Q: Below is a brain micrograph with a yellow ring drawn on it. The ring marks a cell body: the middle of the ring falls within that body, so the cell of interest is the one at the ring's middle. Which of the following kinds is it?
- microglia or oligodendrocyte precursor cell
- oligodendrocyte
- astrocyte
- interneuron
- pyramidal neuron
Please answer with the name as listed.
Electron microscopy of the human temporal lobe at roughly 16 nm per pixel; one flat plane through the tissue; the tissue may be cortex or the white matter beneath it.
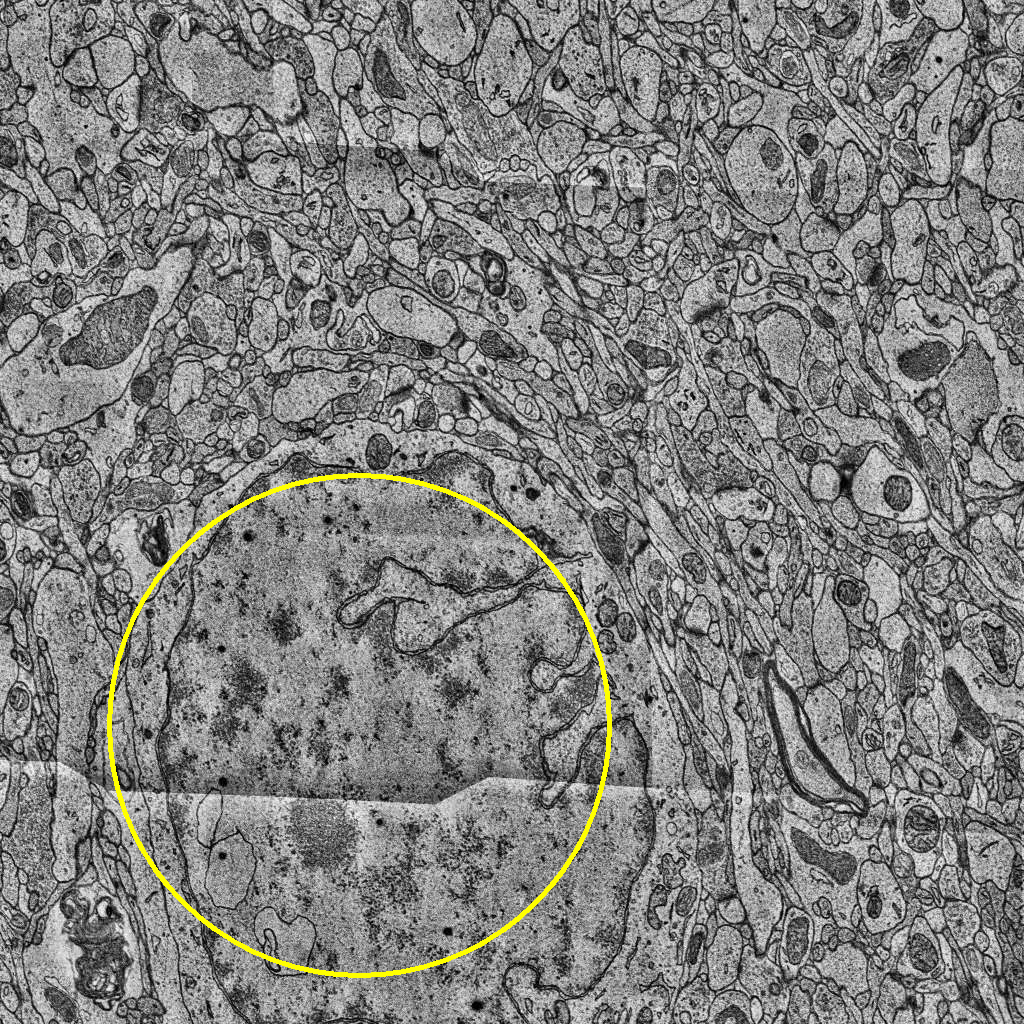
interneuron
